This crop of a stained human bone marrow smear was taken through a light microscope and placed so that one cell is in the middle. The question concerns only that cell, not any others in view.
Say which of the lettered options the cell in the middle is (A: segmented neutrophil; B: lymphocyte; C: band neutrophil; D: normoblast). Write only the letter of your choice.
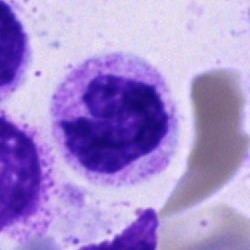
A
